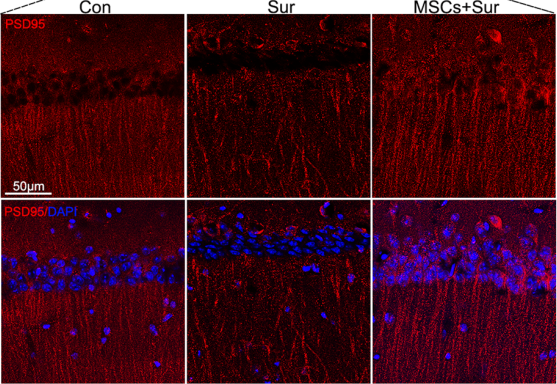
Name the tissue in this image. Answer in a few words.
hippocampus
